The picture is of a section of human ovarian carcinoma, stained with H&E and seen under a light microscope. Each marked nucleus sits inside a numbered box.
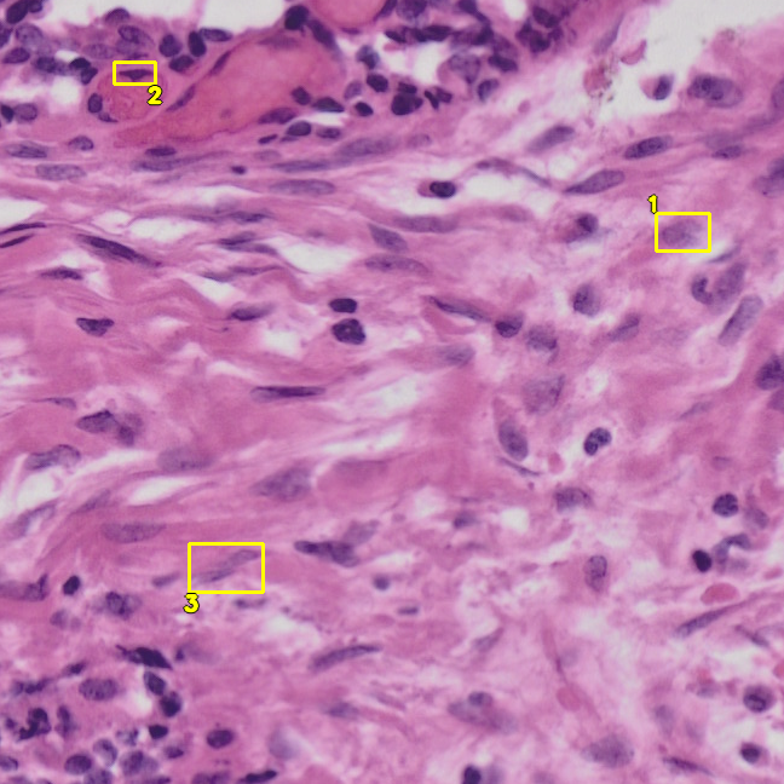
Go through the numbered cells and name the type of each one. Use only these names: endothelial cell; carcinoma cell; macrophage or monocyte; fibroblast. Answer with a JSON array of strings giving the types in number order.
["fibroblast", "endothelial cell", "fibroblast"]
